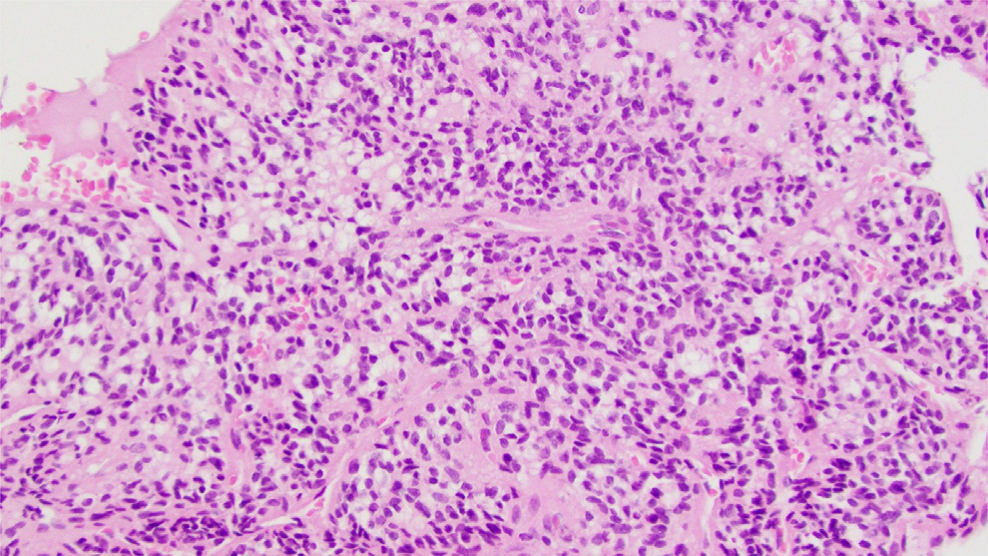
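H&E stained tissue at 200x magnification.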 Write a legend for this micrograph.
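This is a densely cellular tissue made of spindled to ovoid cells arranged in sheets and vague nests. The nuclei are dark purple and vary mildly to moderately in size and shape: some are elongated and tapered, others oval or rounded. Many cells have pale, clear to finely vacuolated cytoplasm, giving a bubbly appearance to parts of the field. Thin pink strands of fibrous tissue and small vessels run between the groups of cells and divide them into compartments. A few red blood cells lie at the upper left edge beside pale pink material.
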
